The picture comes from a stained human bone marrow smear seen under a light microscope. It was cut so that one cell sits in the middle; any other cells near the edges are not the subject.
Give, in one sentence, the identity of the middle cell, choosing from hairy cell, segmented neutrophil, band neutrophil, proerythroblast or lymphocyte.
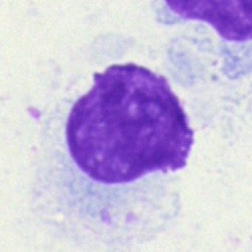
Answering briefly, the cell in the middle is a hairy cell.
